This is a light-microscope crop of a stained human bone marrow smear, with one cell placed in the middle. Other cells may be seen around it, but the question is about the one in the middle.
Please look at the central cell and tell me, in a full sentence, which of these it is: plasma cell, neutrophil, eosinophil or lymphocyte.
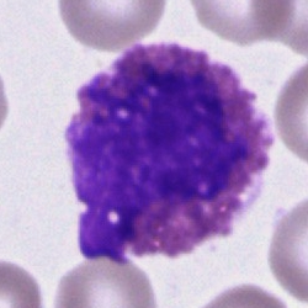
The middle of this crop is occupied by an eosinophil.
